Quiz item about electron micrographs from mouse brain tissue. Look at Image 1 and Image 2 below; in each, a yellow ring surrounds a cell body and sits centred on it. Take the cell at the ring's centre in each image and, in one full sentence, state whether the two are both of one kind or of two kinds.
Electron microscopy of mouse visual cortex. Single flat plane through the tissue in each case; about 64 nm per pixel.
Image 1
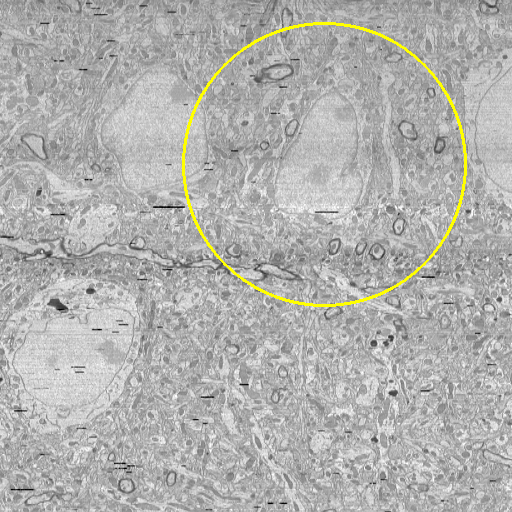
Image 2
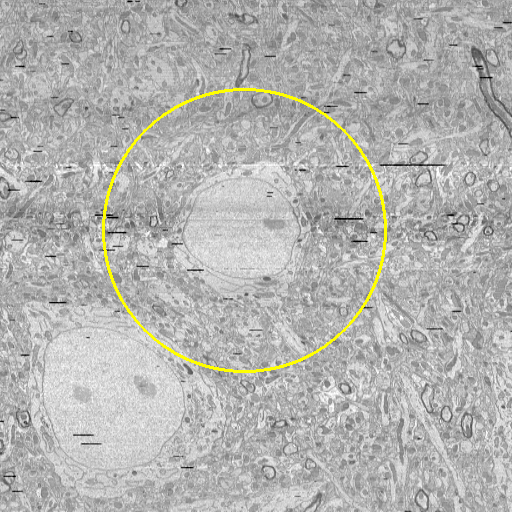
In Image 1 and Image 2, the cells at the ring centres are of two kinds.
